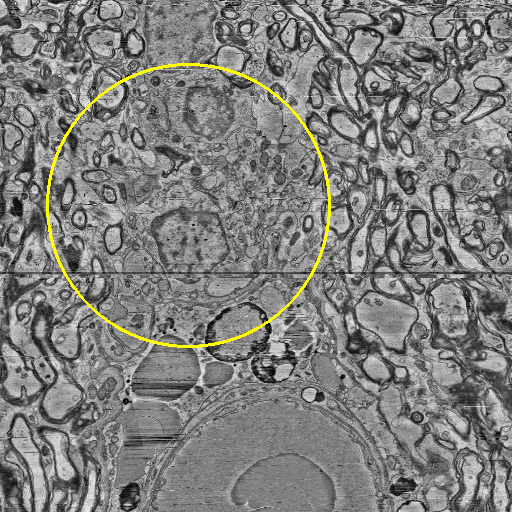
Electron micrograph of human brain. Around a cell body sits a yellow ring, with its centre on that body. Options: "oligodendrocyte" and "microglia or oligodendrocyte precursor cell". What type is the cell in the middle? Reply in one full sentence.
The cell sitting at the centre of the yellow ring is a microglial cell or oligodendrocyte precursor cell.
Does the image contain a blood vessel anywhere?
Yes.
